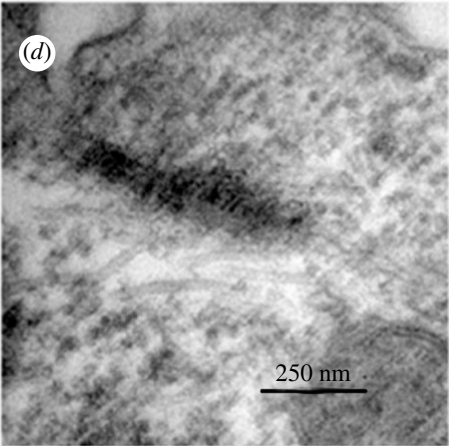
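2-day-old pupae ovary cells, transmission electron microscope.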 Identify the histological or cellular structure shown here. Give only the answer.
Junctions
